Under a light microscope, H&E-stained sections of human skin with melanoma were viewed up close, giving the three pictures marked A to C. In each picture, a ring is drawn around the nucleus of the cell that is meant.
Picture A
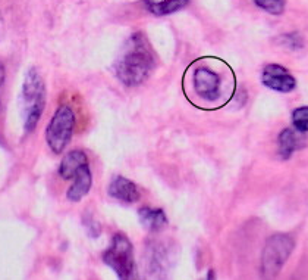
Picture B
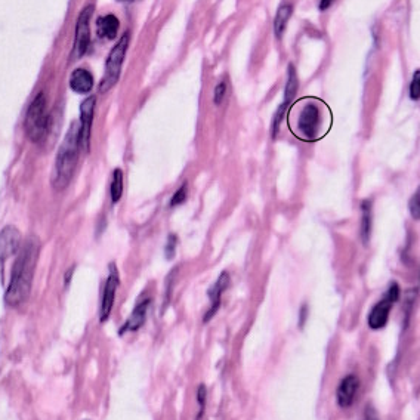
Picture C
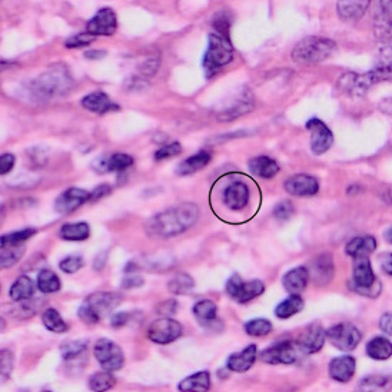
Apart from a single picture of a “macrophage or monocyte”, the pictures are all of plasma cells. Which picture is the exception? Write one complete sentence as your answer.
The picture with the “macrophage or monocyte” is A.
